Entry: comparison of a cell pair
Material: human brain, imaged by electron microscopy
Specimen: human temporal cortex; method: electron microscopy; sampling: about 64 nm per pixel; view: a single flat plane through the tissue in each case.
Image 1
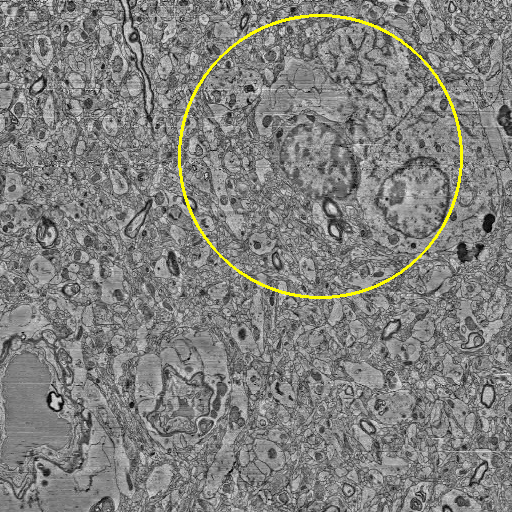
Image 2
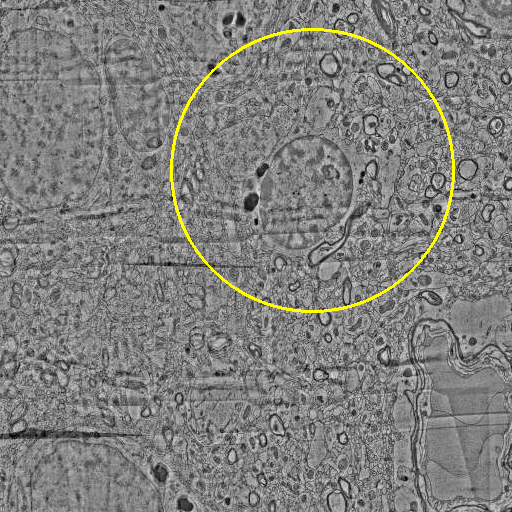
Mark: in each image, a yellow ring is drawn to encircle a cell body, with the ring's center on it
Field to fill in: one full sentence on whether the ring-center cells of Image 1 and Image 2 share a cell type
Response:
Yes, Image 1 and Image 2 each show a ring-center cell of one shared type.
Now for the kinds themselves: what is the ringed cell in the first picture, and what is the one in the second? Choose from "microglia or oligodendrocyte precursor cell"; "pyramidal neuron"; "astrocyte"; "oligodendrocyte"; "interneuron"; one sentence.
Both the first and the second picture show an oligodendrocyte in the ring.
